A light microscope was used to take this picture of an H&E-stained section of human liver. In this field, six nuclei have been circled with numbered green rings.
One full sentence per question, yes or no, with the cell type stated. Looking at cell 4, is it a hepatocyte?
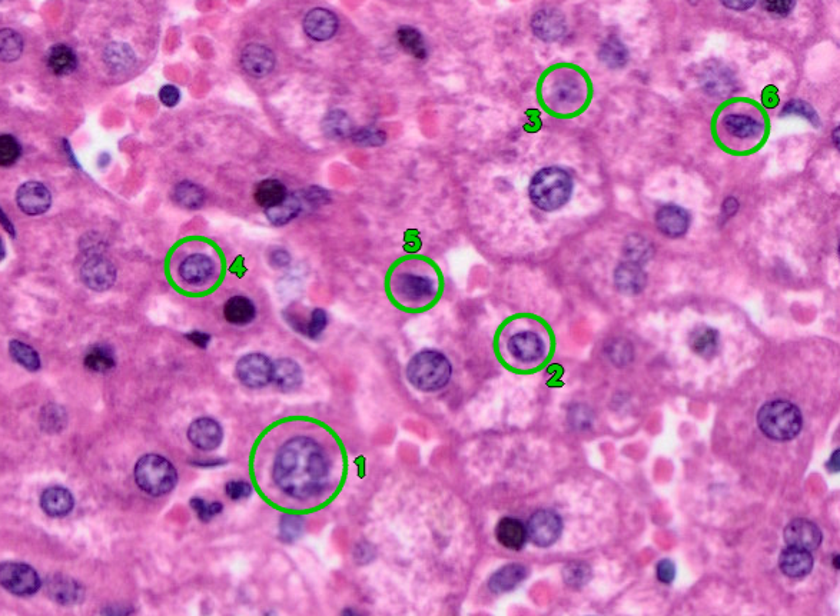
Yes, for number 4, the cell is a hepatocyte.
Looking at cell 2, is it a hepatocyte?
Yes, the nucleus numbered 2 belongs to a hepatocyte.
